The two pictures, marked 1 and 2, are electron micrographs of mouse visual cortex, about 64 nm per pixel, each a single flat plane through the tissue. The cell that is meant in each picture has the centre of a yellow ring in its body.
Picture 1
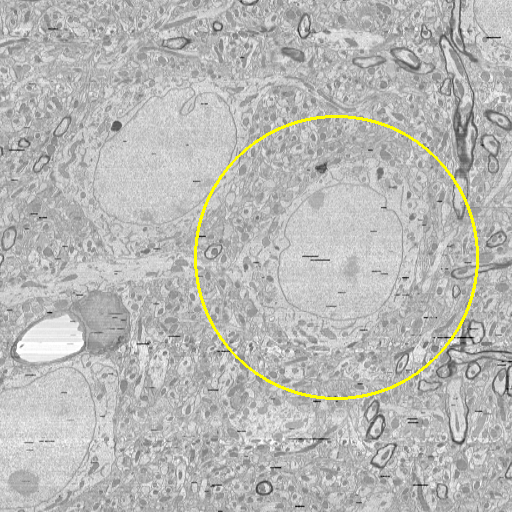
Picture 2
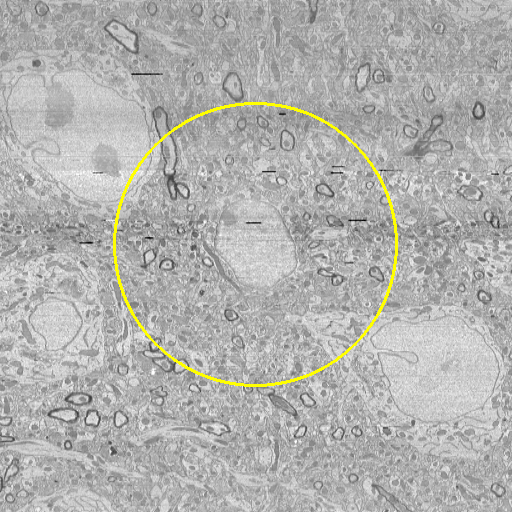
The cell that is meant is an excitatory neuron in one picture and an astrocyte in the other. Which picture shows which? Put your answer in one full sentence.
In picture 1 the cell is an excitatory neuron; in picture 2, an astrocyte.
